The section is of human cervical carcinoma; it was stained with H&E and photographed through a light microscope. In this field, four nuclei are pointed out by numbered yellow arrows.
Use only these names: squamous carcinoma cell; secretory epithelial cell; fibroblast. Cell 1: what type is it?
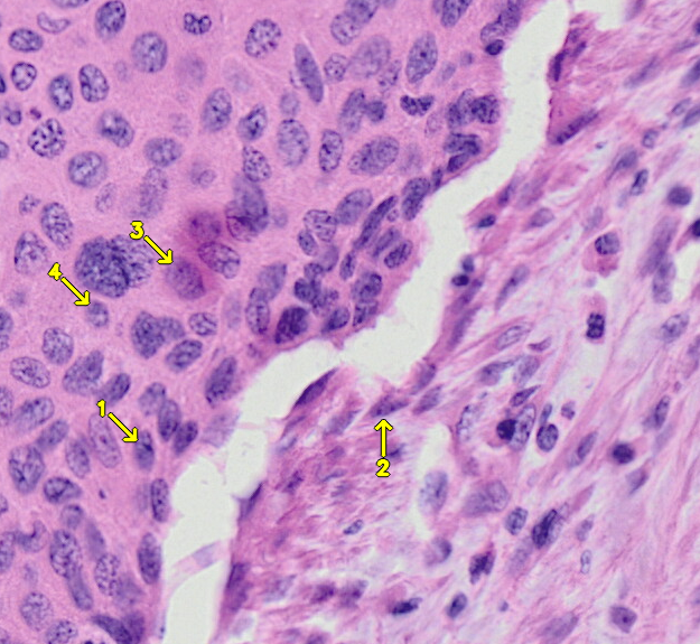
squamous carcinoma cell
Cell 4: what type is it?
squamous carcinoma cell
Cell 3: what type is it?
squamous carcinoma cell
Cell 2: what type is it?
fibroblast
